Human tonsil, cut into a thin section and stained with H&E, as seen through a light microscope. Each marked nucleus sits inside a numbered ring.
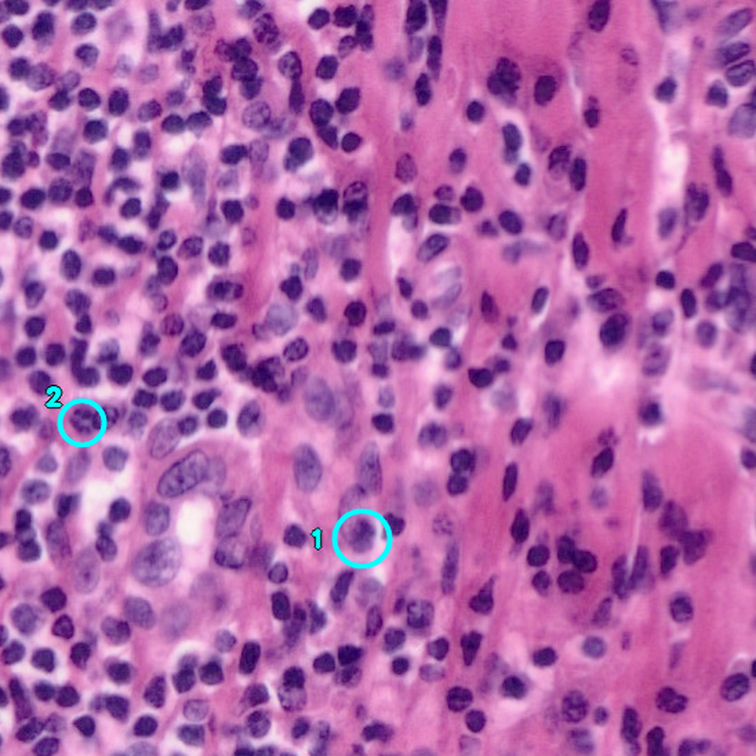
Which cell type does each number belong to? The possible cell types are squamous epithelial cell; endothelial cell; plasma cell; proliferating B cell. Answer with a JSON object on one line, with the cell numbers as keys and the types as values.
{"1": "endothelial cell", "2": "plasma cell"}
